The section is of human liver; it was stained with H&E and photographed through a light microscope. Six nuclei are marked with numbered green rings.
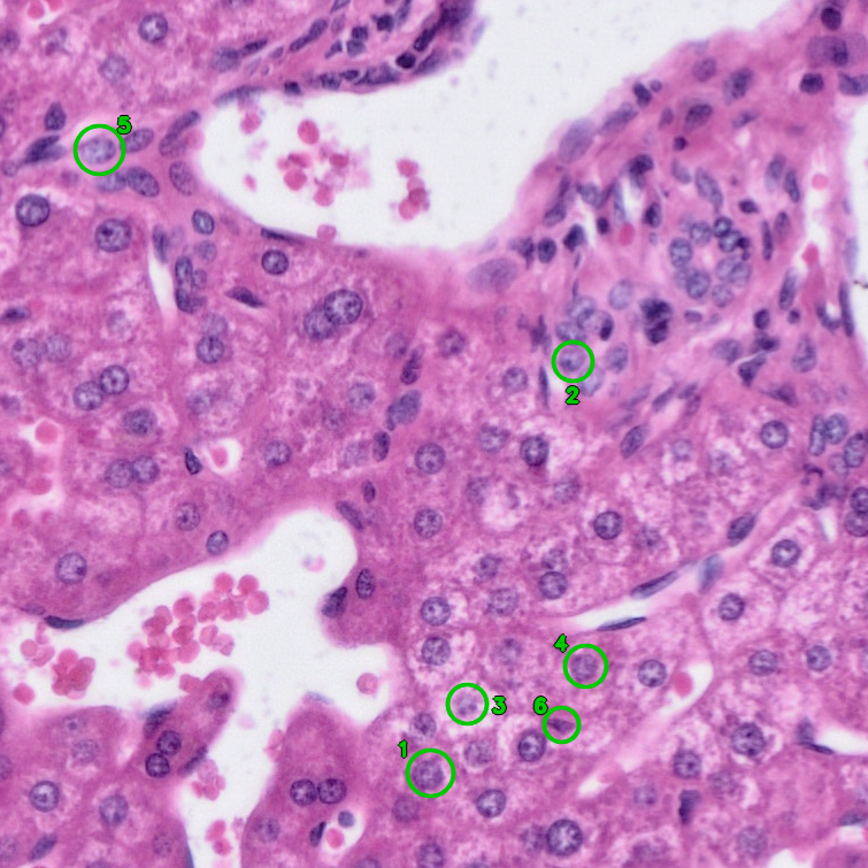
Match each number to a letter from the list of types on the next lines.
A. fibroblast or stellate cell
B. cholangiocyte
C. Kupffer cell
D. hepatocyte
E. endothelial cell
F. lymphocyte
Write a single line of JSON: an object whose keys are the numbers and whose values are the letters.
{"1": "D", "2": "B", "3": "D", "4": "D", "5": "B", "6": "A"}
